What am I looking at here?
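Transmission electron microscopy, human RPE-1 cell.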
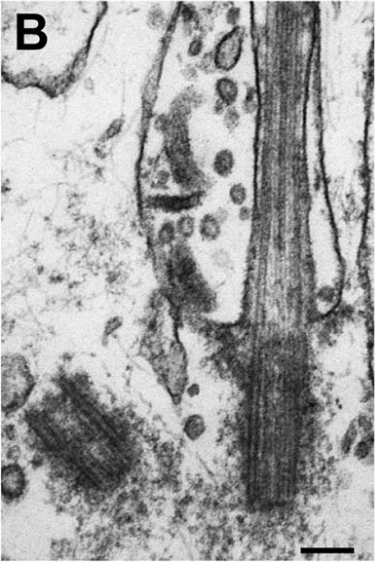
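A long straight bundle of parallel microtubules runs vertically through the field, sheathed by a thin membrane, the axoneme of a primary cilium. At its lower end the bundle becomes denser and wider, the basal body from which the cilium grows, with fuzzy dense material around it. To the left lies a second short barrel-shaped cylinder of microtubules, tilted at an angle. Small round vesicles and membrane profiles are scattered in the pale cytoplasm around, and thin membrane lines border the space in which the cilium sits. This is a primary cilium anchored by its basal body.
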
